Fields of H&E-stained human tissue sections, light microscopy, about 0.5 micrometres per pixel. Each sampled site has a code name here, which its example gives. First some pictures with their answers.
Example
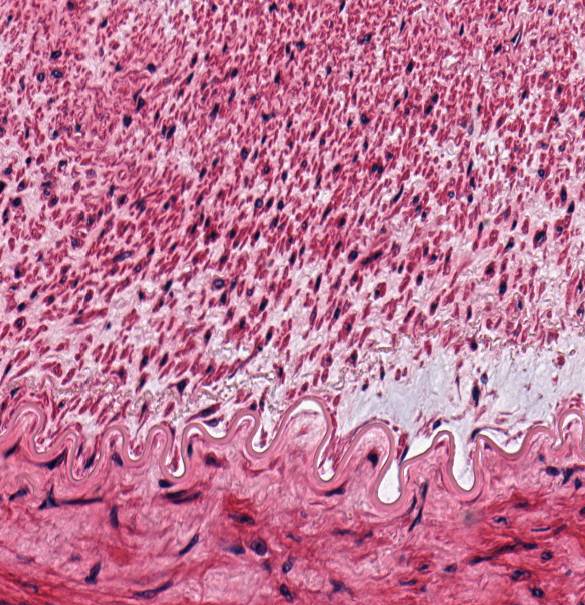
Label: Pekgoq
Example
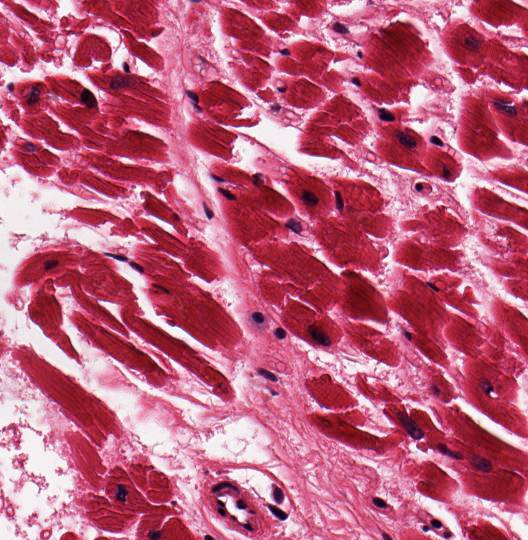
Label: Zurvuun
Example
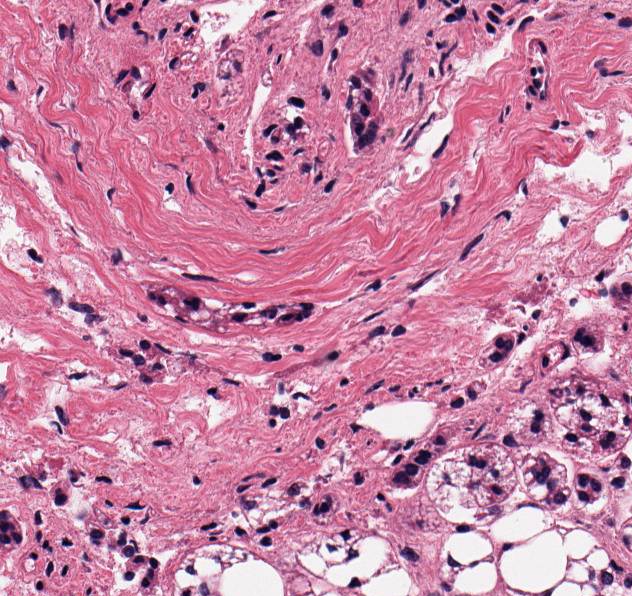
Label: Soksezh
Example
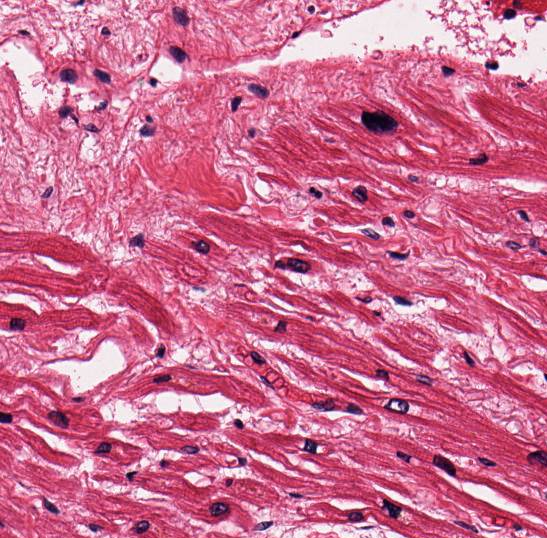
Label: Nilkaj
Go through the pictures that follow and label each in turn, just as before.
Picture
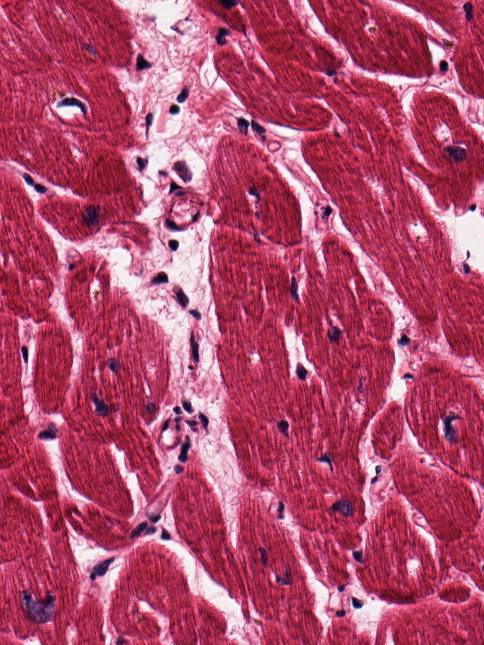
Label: Zurvuun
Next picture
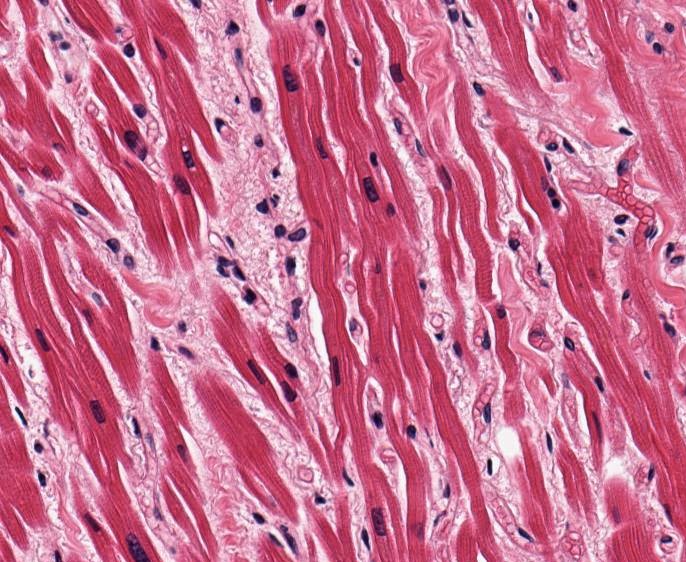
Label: Nilkaj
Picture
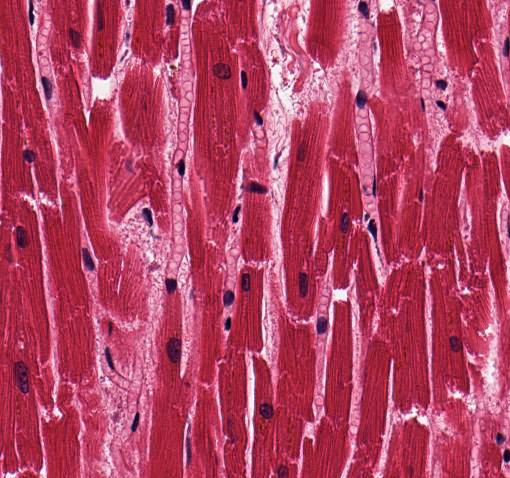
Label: Zurvuun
